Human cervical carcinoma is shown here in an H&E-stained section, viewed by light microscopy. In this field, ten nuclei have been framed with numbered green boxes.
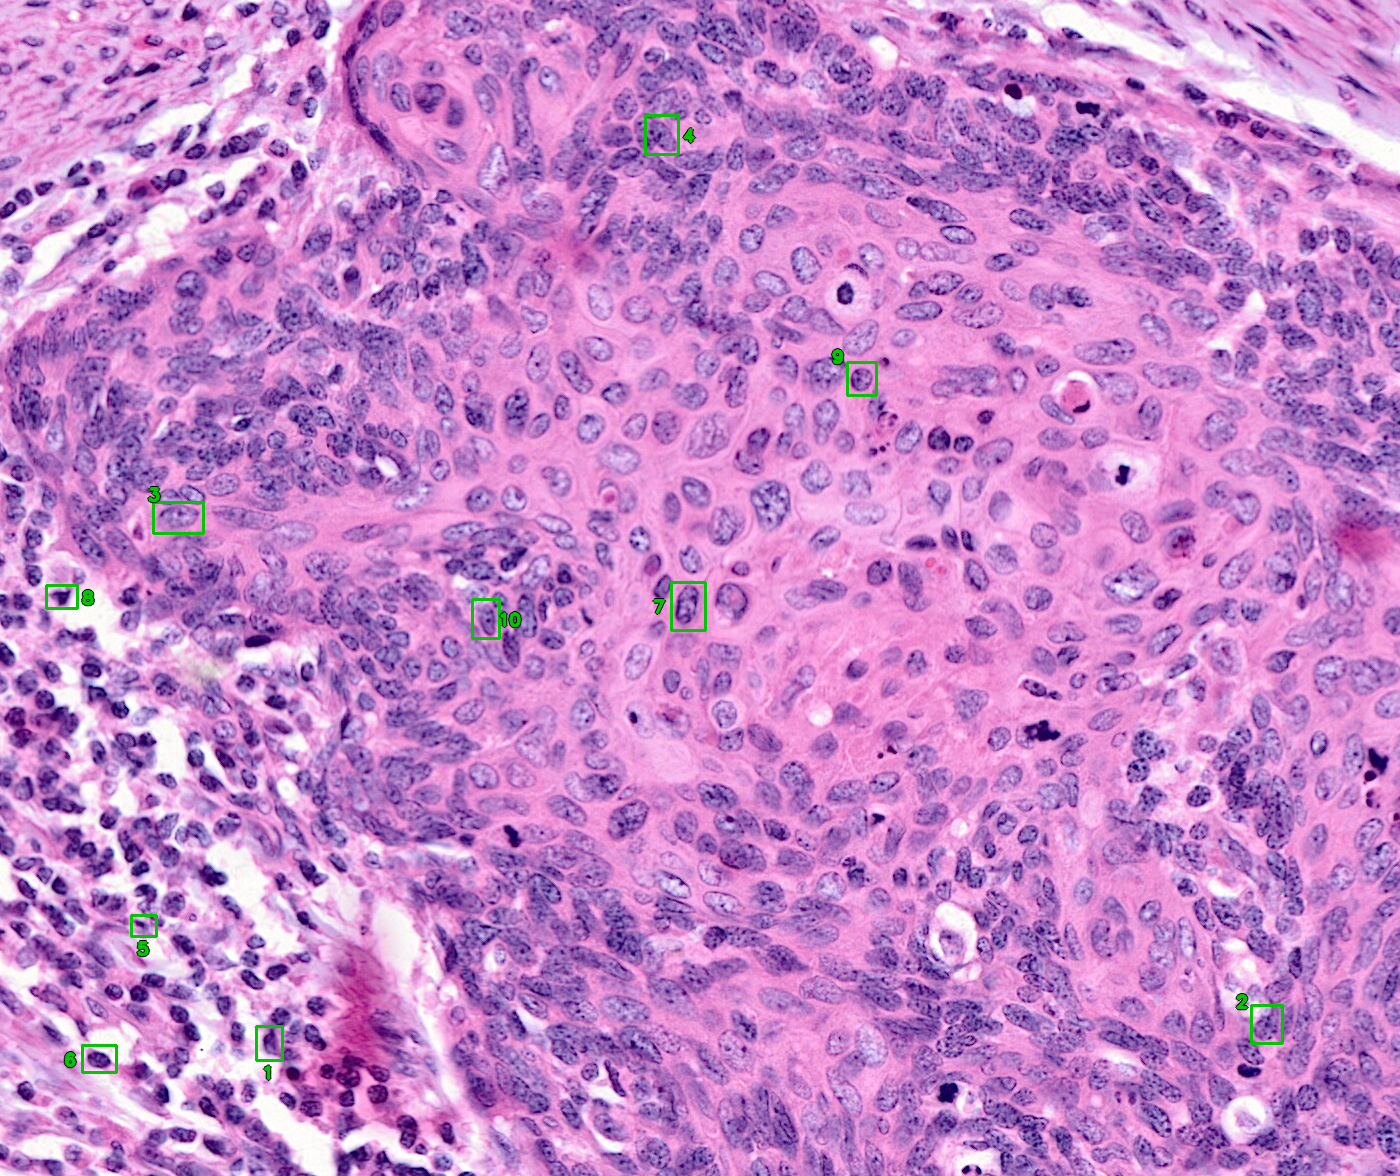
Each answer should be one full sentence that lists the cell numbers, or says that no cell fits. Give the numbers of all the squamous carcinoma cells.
So, the cells with numbers 2, 3, 4, 7, 9 and 10 are squamous carcinoma cells.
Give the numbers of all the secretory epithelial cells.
The numbered cells are all of types other than secretory epithelial cells.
